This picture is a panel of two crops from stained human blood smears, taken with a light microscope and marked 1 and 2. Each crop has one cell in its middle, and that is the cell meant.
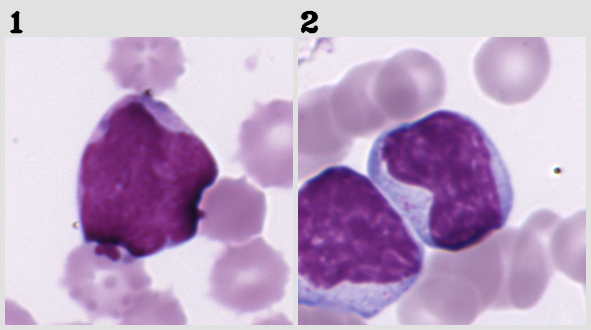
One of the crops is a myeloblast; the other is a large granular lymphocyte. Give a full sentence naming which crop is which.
Crop 1 depicts a myeloblast, and crop 2 depicts a large granular lymphocyte.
